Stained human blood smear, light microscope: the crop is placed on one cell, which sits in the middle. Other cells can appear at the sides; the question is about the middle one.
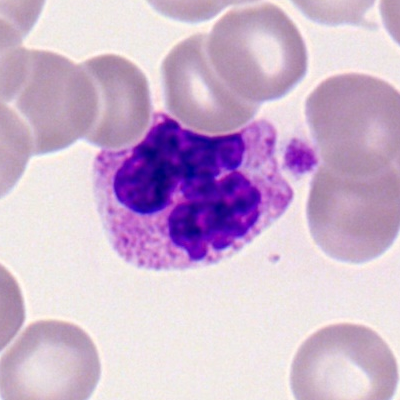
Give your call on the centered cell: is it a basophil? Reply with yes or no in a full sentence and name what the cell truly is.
Yes, the cell in the middle is rightly called a basophil.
